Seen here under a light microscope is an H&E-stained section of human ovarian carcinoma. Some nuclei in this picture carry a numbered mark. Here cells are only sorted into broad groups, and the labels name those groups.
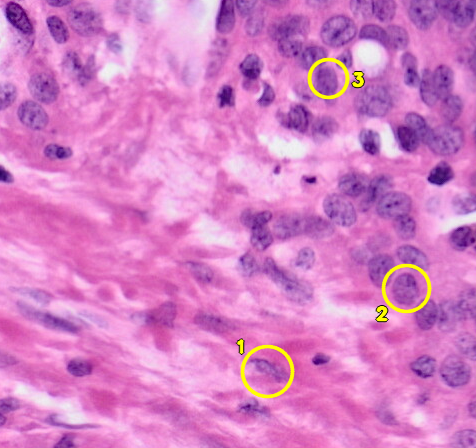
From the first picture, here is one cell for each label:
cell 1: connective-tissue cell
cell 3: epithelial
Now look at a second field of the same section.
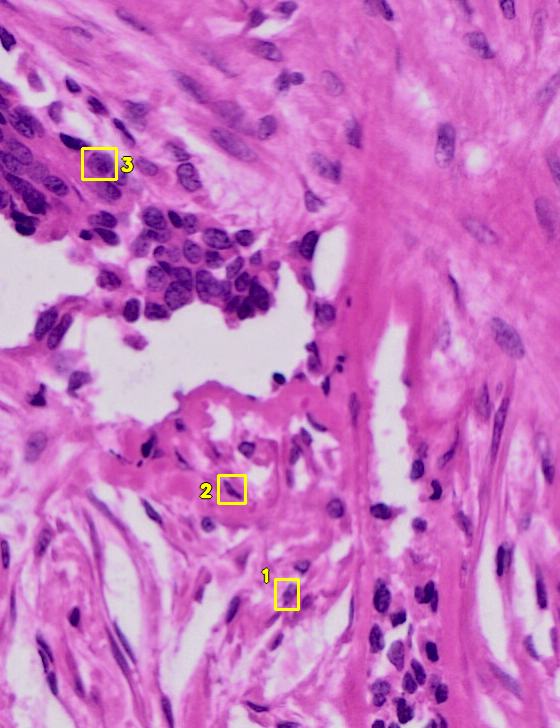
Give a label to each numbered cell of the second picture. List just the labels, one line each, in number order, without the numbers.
connective-tissue cell
connective-tissue cell
epithelial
